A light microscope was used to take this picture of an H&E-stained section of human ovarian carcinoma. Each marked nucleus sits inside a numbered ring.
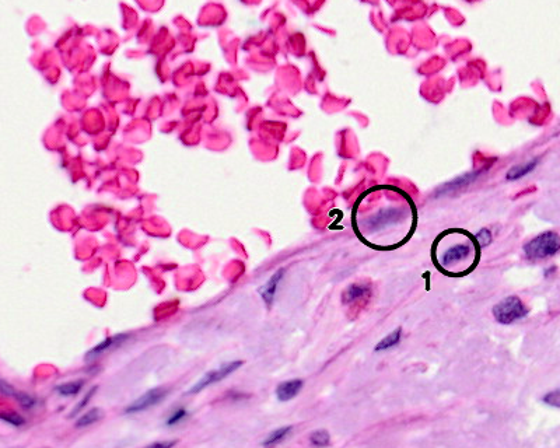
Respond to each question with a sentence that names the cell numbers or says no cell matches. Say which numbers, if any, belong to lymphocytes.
Only one choice fits: cell 1 is a lymphocyte, and no other.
